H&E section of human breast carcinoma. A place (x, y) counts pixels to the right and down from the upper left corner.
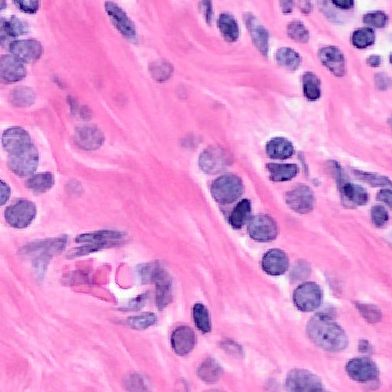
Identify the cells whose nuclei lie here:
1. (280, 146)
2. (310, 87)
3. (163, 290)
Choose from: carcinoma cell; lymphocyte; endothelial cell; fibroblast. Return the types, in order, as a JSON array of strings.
["lymphocyte", "lymphocyte", "endothelial cell"]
